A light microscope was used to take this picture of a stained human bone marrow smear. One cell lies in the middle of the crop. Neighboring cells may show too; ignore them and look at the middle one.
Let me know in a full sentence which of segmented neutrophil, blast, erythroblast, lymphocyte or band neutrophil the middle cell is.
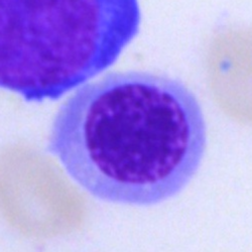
In the middle of this smear crop, the cell is an erythroblast.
